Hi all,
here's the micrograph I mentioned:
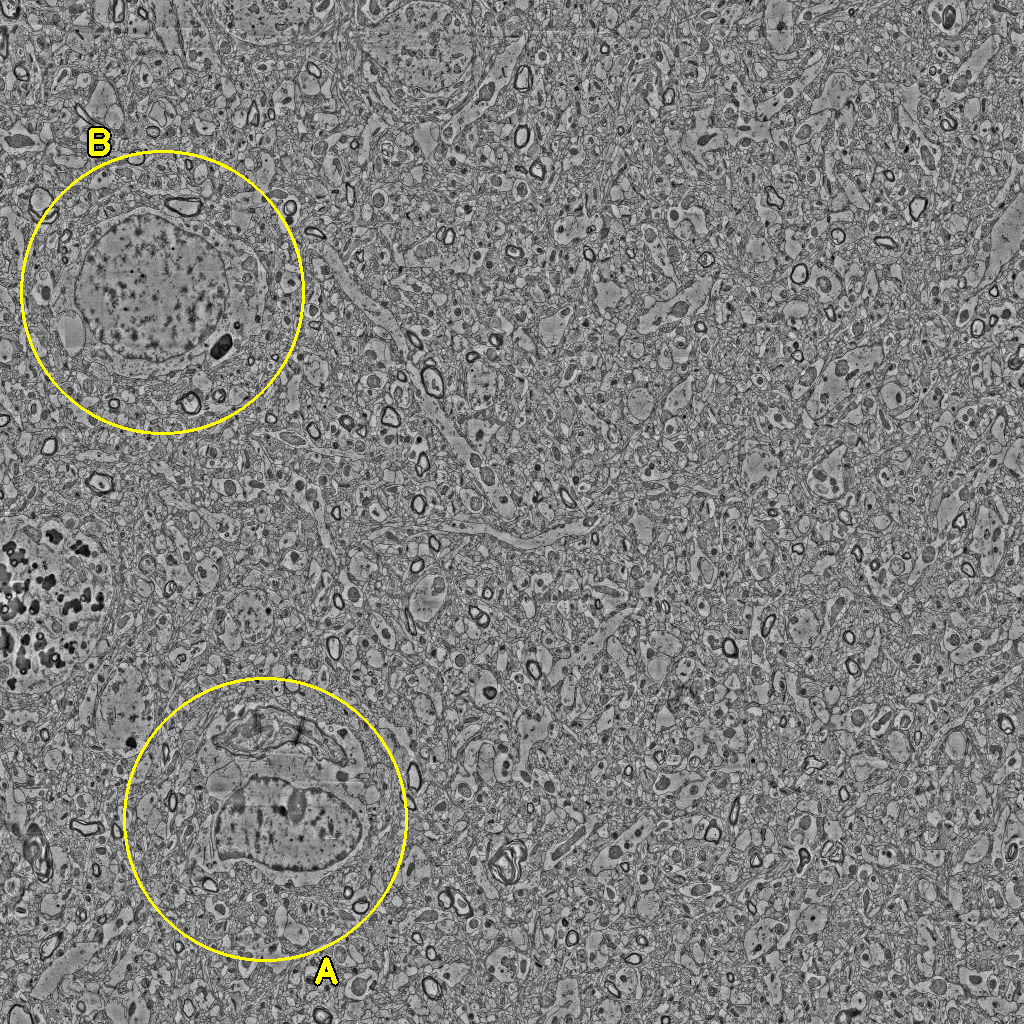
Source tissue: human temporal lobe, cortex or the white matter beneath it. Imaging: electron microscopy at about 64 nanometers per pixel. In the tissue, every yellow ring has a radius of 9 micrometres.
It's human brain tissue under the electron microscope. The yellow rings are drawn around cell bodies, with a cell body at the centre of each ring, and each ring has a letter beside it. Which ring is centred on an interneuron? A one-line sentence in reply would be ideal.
It's the one labelled B.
